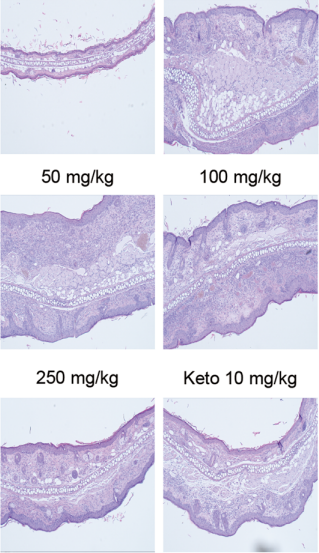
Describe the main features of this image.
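These are cross sections of the ear, each a thin sheet of skin covering both faces of a central plate of cartilage, stained pink and purple. The cartilage runs as a thin pale band with small rounded spaces along the middle of each section. In the thinnest section the epidermis is a slender purple line and the dermis on either side of the cartilage is narrow and loosely textured. In other sections the whole sheet is much thicker, with a broader, darker epidermis at the surface. In the thickest of them the dermis is widened and densely filled with purple-stained cells, so that it appears crowded and uneven compared with the thinnest section.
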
